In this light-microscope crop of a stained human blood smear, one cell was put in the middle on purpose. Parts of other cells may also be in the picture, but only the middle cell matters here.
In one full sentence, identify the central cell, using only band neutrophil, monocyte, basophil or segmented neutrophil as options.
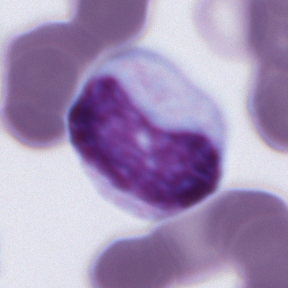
Where the crop is centred, there is a band neutrophil.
